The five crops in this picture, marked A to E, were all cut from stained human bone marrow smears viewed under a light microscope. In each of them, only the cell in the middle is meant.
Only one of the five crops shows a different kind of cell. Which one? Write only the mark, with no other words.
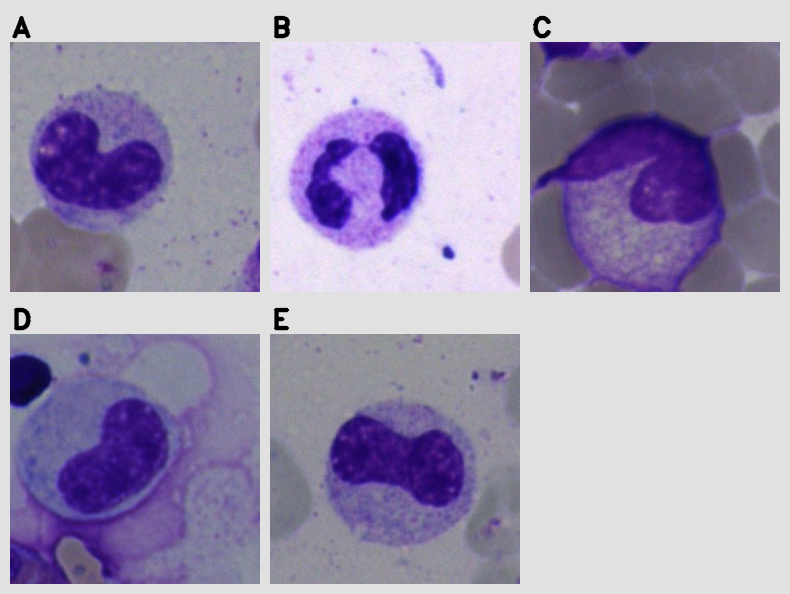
B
